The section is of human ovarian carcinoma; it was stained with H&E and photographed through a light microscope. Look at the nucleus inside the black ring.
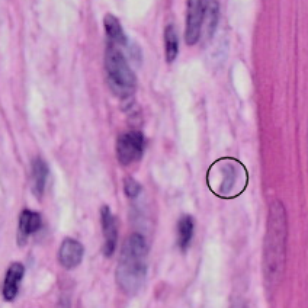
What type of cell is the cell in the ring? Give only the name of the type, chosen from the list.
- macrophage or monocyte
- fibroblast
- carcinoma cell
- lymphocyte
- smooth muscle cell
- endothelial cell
macrophage or monocyte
